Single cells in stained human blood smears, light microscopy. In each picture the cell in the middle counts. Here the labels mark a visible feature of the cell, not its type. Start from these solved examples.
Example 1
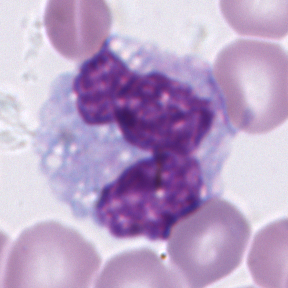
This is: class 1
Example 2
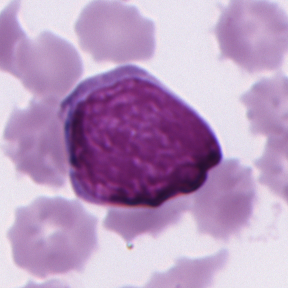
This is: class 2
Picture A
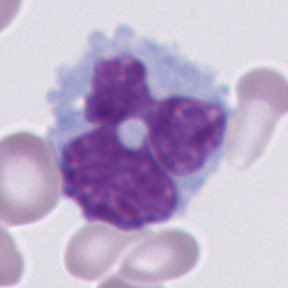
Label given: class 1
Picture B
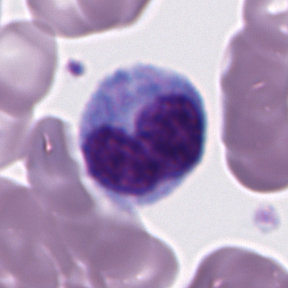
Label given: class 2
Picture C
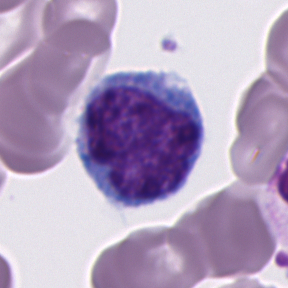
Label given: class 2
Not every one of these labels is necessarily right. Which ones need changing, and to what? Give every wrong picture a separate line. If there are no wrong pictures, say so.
Every label is right.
